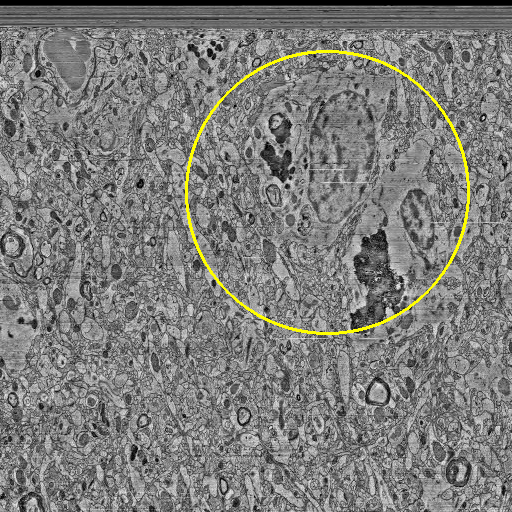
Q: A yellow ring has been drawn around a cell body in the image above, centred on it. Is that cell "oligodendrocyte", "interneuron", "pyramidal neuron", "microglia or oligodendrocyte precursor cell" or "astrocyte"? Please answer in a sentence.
The ring surrounds the cell body of an astrocyte.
